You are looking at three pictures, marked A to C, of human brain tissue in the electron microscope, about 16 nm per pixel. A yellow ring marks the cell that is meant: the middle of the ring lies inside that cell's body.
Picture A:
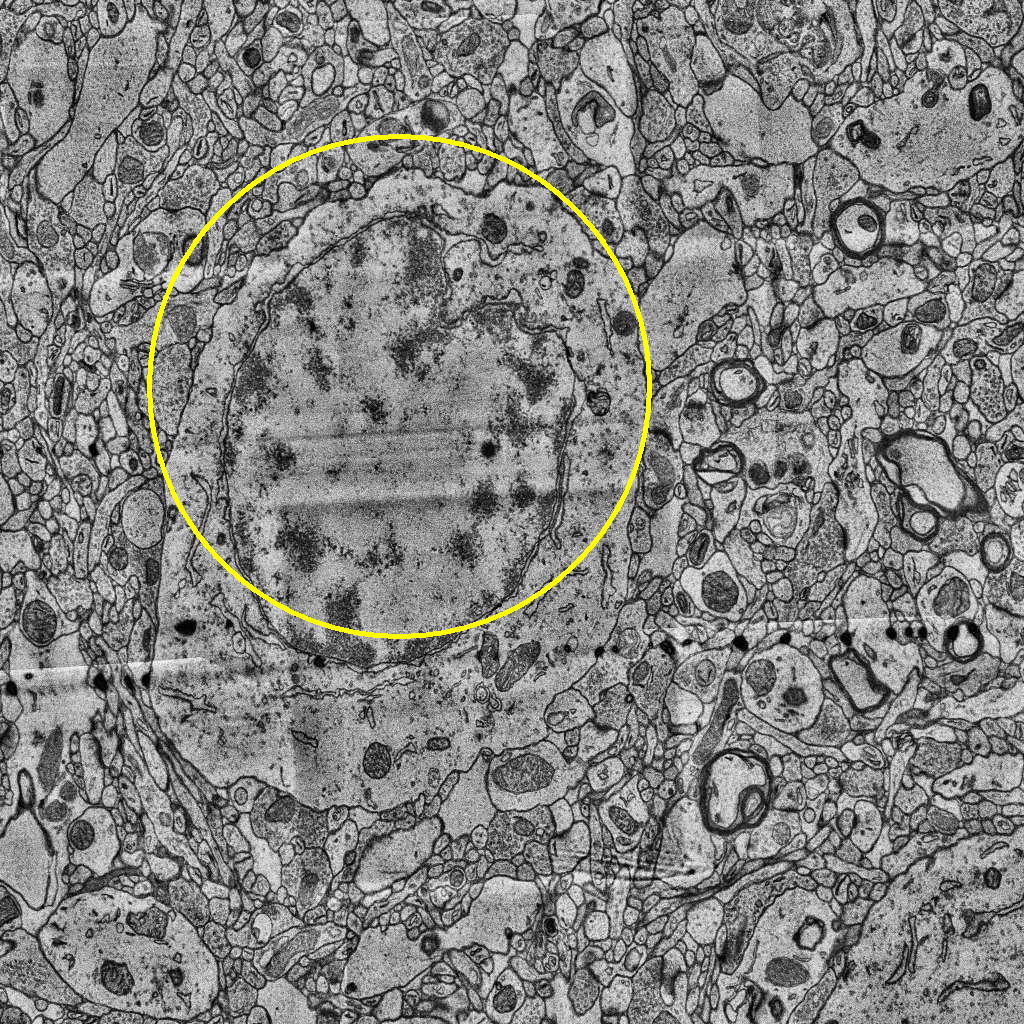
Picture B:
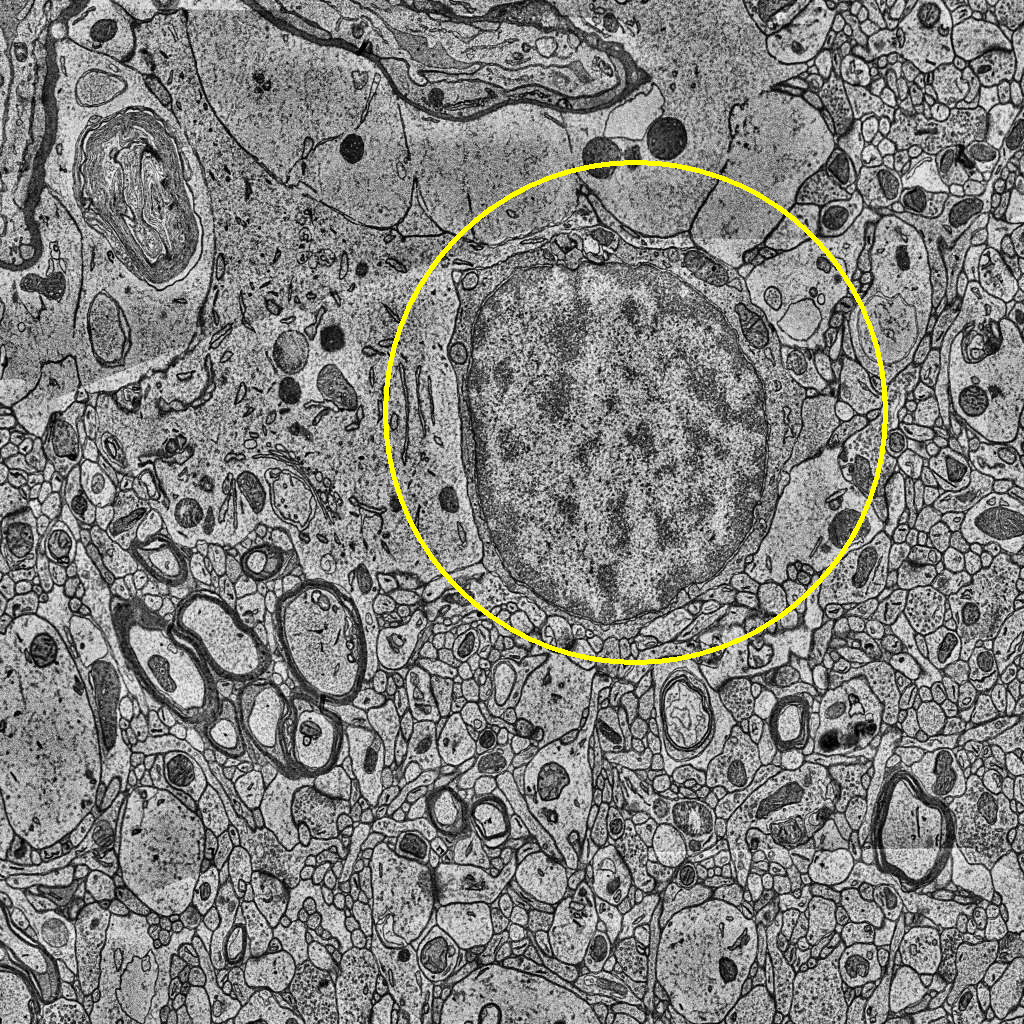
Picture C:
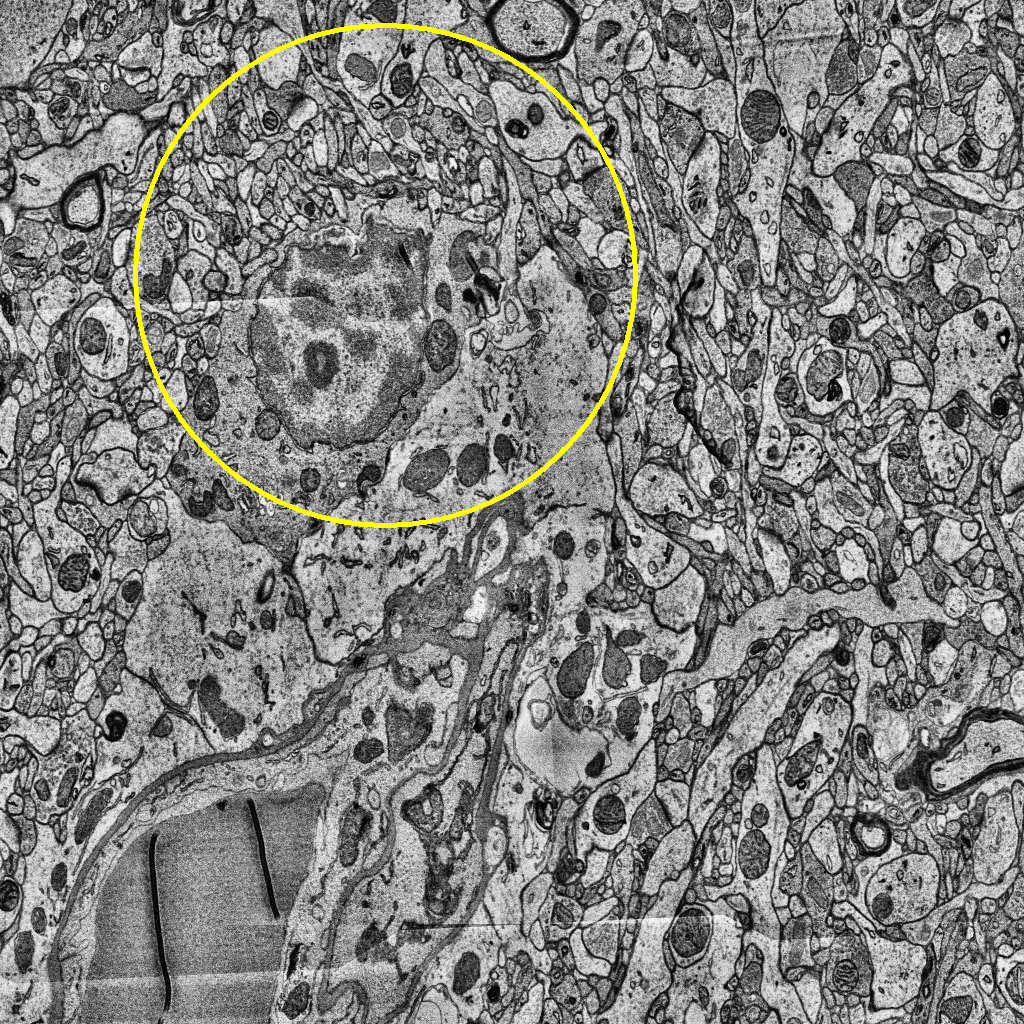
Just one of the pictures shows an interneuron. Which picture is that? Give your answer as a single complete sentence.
The cell in picture A is the interneuron.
